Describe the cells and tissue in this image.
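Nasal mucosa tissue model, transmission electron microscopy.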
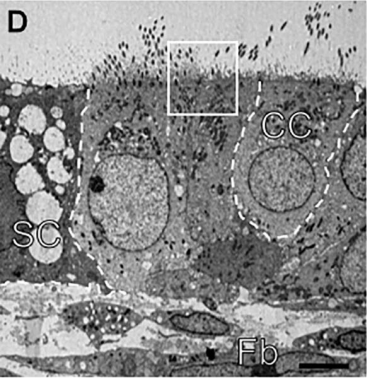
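At the left, a secretory cell is packed with large, pale, round granules, while neighbouring ciliated cells have large oval nuclei with finely granular chromatin. The apical surface carries a fringe of microvilli with scattered cilia cut in cross and oblique section. Below the epithelium, flattened fibroblasts with elongated nuclei lie in the loose connective tissue.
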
